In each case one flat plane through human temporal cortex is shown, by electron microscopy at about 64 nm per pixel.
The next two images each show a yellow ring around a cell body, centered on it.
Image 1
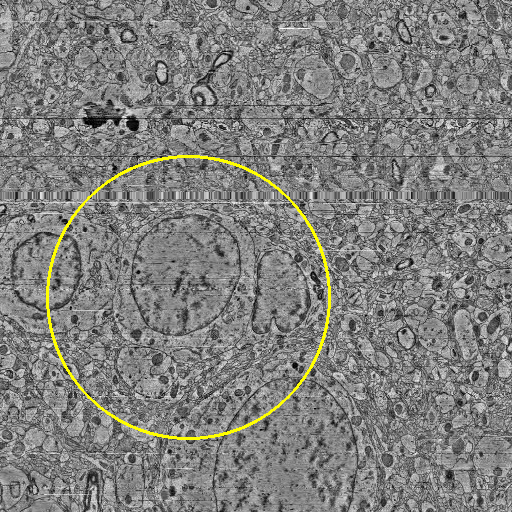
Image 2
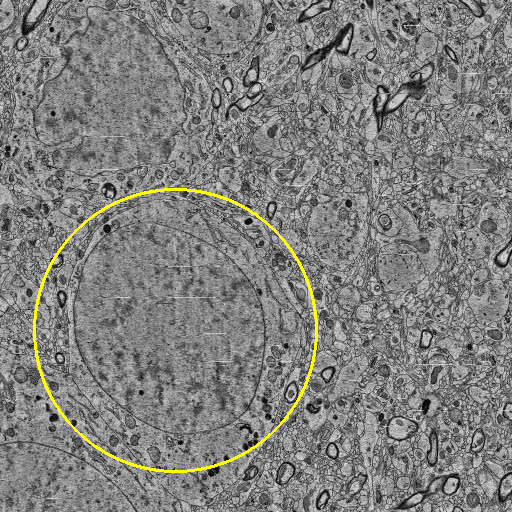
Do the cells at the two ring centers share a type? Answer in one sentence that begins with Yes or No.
Yes, across the two images the cells at the ring centers share one type.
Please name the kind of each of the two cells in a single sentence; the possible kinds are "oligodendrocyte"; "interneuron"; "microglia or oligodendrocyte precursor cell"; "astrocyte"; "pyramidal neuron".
Each cell at the centre of a ring is a pyramidal neuron.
